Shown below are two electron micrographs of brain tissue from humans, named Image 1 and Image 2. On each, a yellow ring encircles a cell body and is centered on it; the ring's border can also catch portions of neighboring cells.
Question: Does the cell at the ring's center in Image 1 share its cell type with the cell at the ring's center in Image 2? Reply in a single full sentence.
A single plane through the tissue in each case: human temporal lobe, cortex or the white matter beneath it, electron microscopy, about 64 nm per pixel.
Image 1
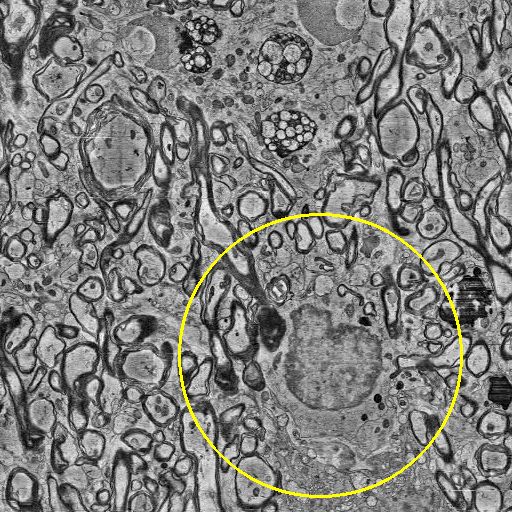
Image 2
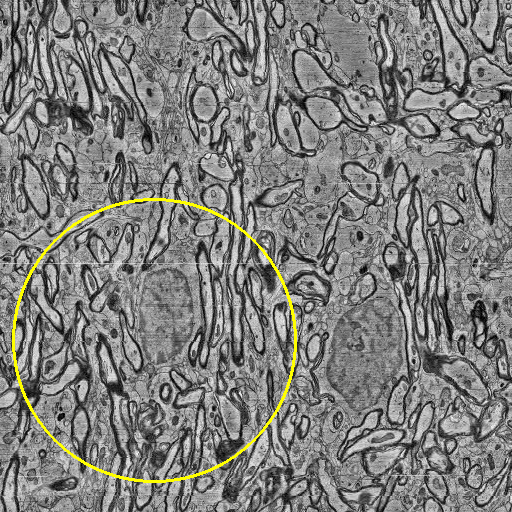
Yes, the two cells at the ring centers, in Image 1 and Image 2, share one cell type.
